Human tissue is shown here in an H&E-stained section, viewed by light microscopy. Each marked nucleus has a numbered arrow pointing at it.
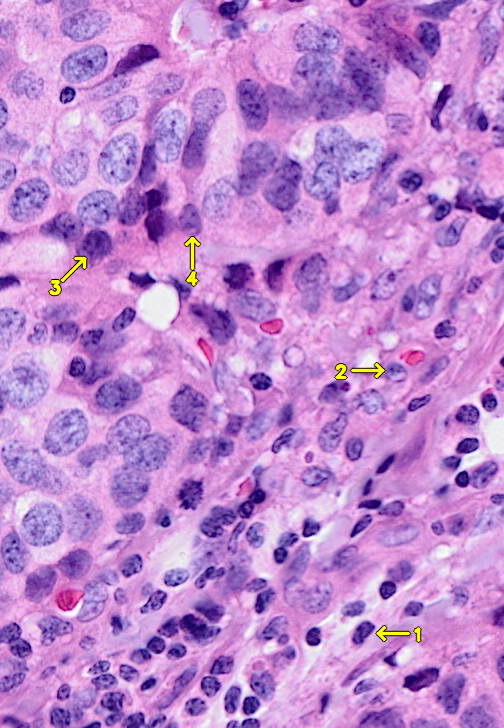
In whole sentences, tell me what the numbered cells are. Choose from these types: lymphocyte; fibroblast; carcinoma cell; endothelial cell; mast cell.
Cell 1 is a lymphocyte. Cell 2 is an endothelial cell. Cells 3 and 4 are carcinoma cells.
